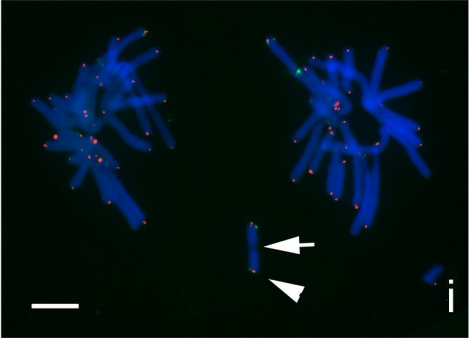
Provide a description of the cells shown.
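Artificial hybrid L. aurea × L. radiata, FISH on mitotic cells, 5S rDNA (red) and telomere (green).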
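Two clusters of blue-stained rod-shaped chromosomes lie side by side, separated by a clear gap, as in a dividing cell whose chromatids are being pulled to opposite poles at anaphase. Small red dots sit at the tips of many chromosomes, with a few green dots among them. Between and below the two clusters lie one or two very small, isolated chromosomes, much shorter than the rest, lagging apart from both groups. Such a tiny chromosome is a mini-chromosome left behind during anaphase.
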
